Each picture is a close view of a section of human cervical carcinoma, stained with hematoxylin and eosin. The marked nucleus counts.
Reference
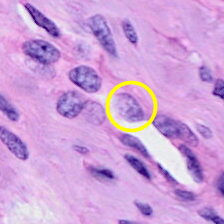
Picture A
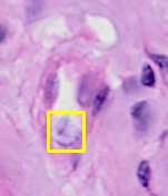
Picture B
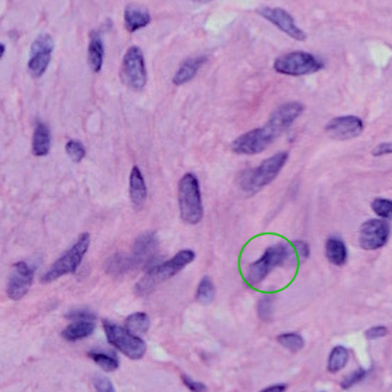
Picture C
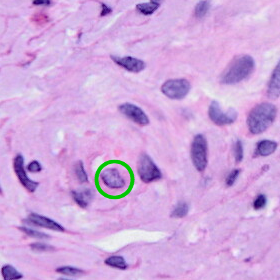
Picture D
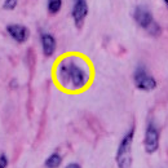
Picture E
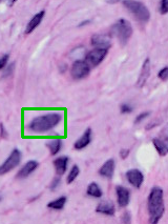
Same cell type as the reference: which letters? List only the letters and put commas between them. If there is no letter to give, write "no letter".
A, C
